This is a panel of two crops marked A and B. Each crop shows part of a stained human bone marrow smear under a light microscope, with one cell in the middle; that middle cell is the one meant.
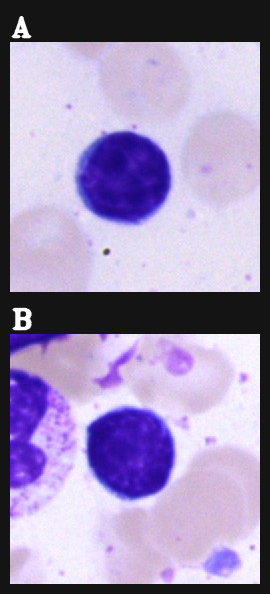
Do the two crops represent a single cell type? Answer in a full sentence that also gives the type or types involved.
Yes, both crops show lymphocytes, to put it briefly.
